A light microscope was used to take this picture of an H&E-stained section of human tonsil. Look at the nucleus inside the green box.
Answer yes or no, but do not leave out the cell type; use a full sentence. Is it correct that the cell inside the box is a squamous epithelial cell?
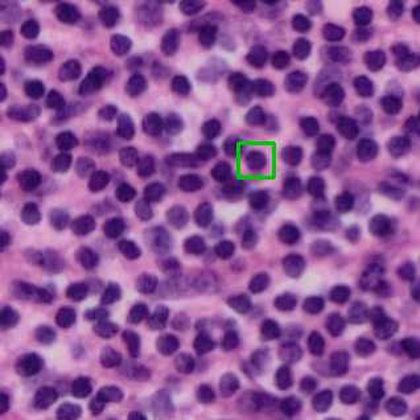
No, the cell inside the box is classed as a small lymphocyte, not a squamous epithelial cell.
